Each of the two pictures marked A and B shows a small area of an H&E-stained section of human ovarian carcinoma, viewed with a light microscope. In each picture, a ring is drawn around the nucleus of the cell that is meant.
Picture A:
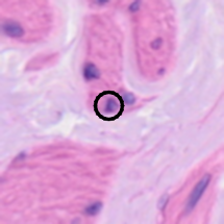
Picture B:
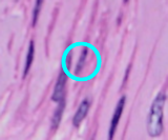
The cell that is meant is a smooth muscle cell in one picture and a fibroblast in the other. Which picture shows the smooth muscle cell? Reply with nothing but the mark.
A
